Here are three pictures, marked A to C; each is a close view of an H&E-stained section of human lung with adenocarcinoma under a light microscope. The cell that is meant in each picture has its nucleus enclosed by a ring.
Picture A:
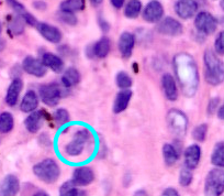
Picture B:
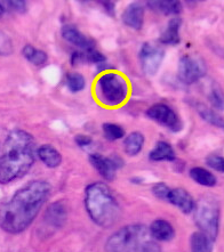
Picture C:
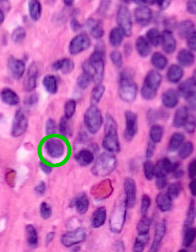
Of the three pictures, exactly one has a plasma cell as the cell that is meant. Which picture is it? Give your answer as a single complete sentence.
The plasma cell is the one in picture B.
